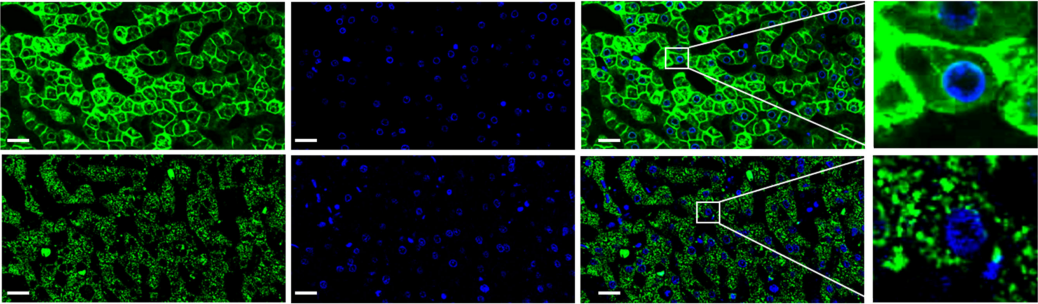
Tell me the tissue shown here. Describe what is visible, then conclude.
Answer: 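Liver. Polygonal cells packed in anastomosing cords. Dark channels run between the cords of cells.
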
